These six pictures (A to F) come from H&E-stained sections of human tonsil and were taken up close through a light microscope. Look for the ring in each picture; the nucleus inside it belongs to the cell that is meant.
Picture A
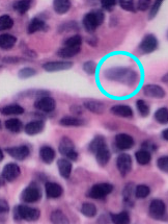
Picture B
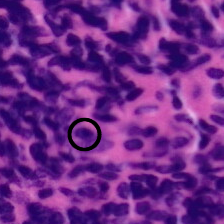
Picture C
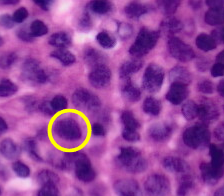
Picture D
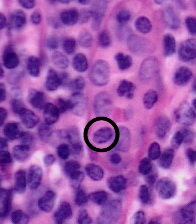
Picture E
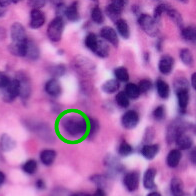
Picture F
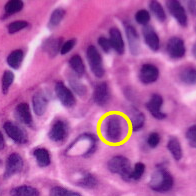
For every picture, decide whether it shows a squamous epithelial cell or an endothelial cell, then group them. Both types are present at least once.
A: endothelial cell
B: endothelial cell
C: squamous epithelial cell
D: endothelial cell
E: endothelial cell
F: squamous epithelial cell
